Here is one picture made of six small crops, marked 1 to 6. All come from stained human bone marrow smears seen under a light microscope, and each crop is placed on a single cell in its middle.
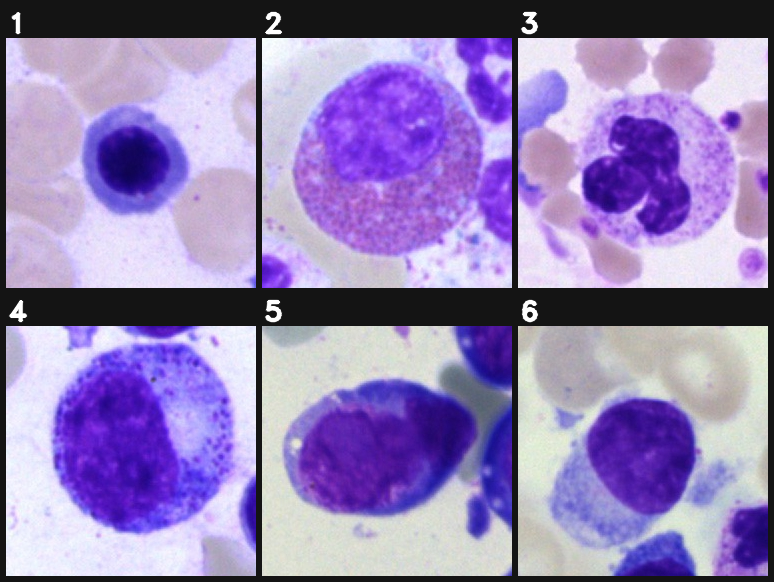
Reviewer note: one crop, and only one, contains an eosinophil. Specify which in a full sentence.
Of all the crops, crop 2 is the one showing an eosinophil.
